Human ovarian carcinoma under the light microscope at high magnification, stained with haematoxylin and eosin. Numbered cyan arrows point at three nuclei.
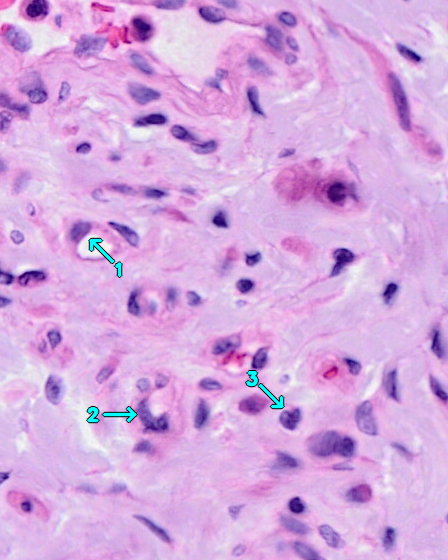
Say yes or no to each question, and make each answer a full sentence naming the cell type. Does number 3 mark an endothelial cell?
No, a lymphocyte is what cell 3 is, not an endothelial cell.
